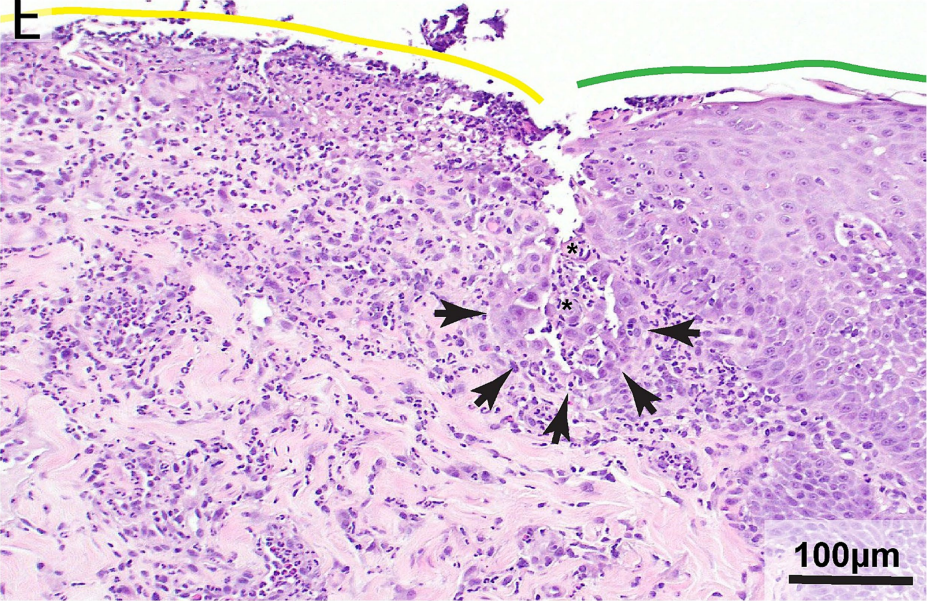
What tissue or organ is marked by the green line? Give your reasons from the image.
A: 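Intact. Under the green line a continuous, thick layer of stratified squamous epithelium is preserved.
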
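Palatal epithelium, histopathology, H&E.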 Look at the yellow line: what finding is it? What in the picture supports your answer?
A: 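Under the yellow line there is no intact layered epithelium on the surface. The surface there is covered by dense infiltrates of inflammatory cells. The answer: ulcerated.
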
